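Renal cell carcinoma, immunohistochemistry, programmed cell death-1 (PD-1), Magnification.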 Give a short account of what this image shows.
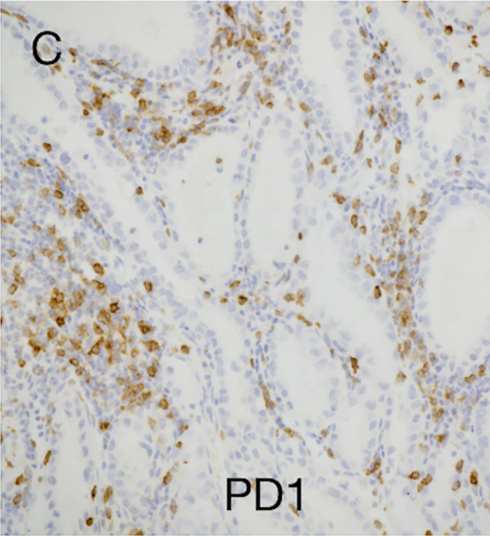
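The lymphocytes are small, round cells with little cytoplasm, and they are stained brown. They sit mostly in the stroma around the tubules, forming a denser cluster at one side. The lining tumour cells themselves stay unstained.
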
